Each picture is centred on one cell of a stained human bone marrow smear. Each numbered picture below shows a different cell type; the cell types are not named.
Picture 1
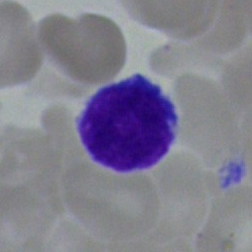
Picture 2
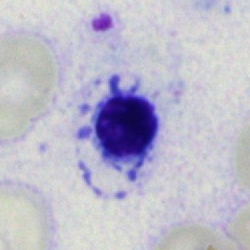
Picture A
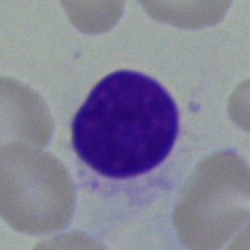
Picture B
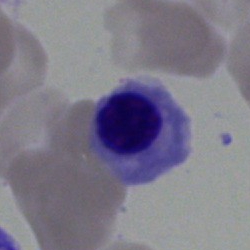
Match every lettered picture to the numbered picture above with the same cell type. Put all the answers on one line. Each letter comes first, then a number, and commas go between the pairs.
A 1, B 2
